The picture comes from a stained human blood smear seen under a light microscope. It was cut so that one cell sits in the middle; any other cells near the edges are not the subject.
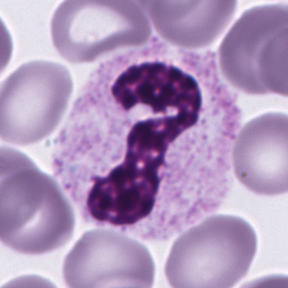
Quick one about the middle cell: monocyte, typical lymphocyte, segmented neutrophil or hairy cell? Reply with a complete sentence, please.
The crop shows a segmented neutrophil in its centre.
